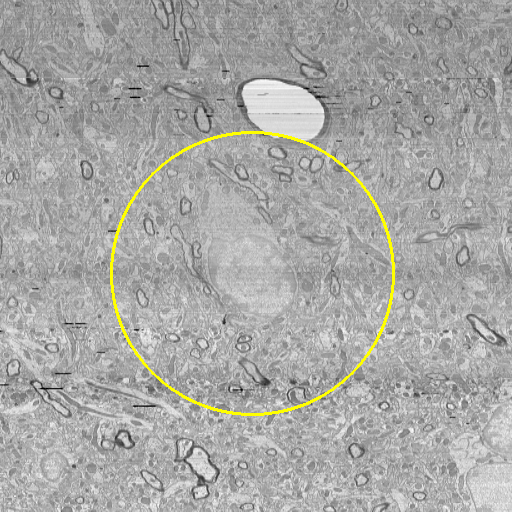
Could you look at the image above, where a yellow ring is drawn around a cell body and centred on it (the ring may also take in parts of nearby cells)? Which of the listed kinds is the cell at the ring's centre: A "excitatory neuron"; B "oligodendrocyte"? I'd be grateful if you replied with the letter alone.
B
